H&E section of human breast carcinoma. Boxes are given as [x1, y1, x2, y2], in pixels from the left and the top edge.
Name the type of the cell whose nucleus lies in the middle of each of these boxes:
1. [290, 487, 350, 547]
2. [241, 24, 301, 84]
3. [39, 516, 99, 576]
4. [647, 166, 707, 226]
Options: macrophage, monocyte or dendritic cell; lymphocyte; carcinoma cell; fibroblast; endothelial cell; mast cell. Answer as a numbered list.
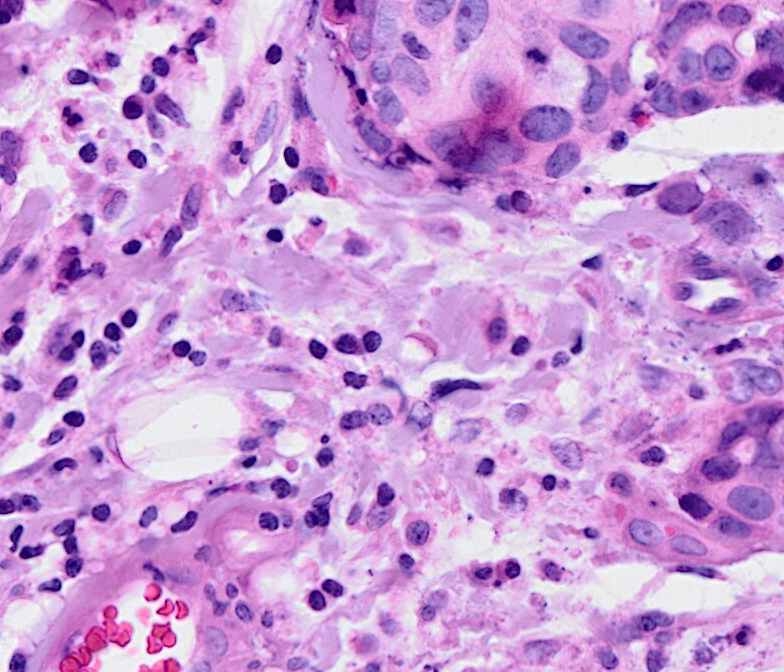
1. lymphocyte
2. lymphocyte
3. lymphocyte
4. carcinoma cell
